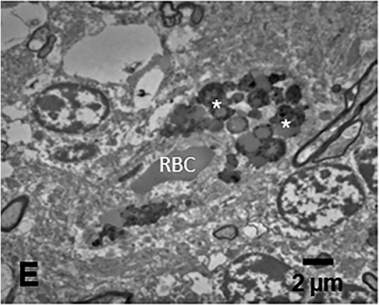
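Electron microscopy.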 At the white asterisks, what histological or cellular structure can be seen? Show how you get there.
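Lysosomal structures. White asterisks mark a cluster of dense rounded bodies of varying darkness. The cluster lies outside the vessel containing a single red cell.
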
